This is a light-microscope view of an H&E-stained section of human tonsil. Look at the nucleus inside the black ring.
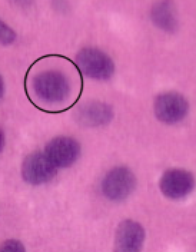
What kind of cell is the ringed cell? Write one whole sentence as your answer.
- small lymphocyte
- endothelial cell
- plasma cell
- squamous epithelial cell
The classification of the ringed cell is as a squamous epithelial cell.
